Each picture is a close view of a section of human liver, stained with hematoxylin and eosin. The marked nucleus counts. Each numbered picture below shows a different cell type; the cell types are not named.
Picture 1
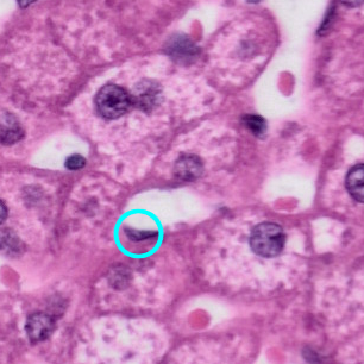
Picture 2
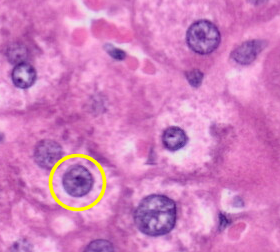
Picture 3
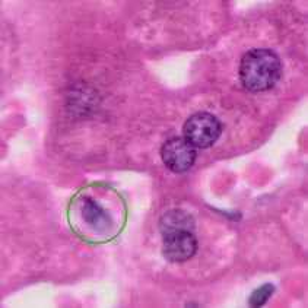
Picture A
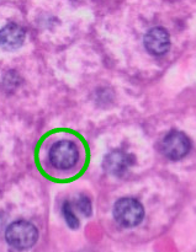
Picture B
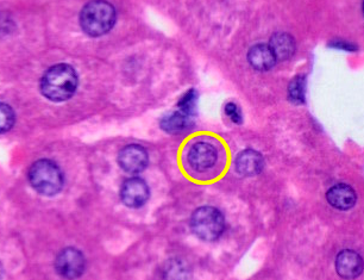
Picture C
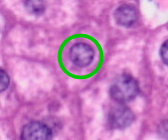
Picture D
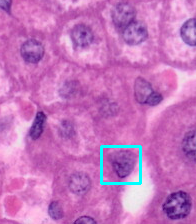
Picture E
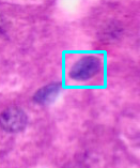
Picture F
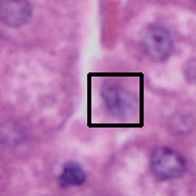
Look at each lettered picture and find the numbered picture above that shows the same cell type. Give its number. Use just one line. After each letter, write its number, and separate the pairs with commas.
A 2, B 2, C 2, D 1, E 1, F 3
